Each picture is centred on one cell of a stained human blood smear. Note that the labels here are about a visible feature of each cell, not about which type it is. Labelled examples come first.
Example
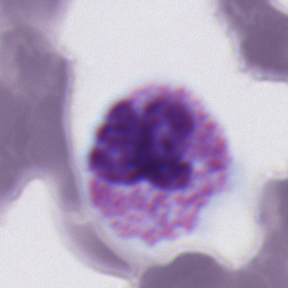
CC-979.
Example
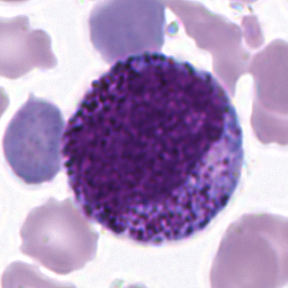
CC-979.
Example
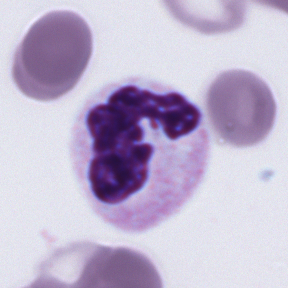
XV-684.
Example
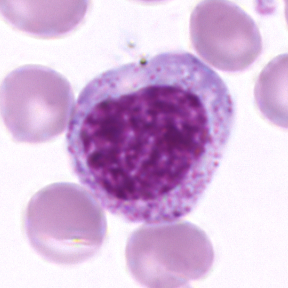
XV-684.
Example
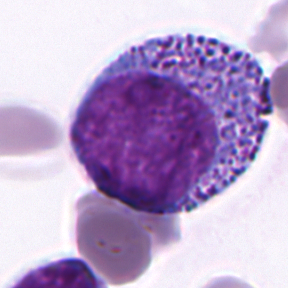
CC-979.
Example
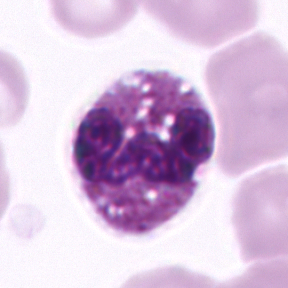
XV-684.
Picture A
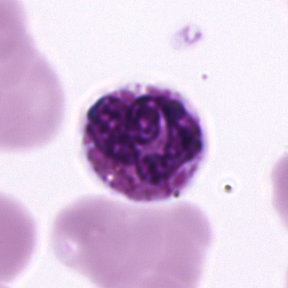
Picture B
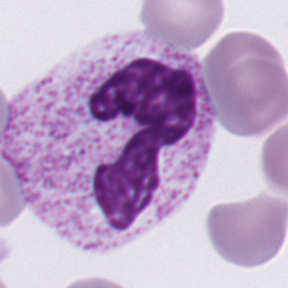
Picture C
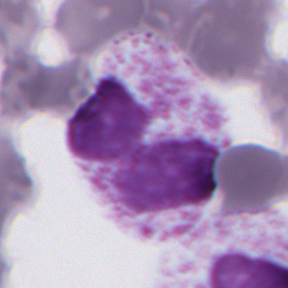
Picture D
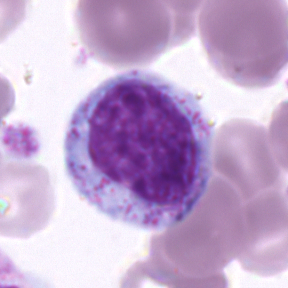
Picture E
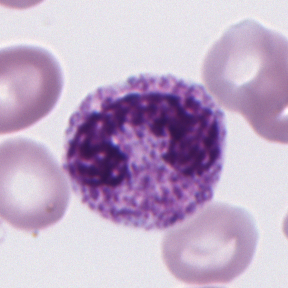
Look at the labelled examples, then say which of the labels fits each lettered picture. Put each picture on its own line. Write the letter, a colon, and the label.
A: XV-684.
B: XV-684.
C: CC-979.
D: XV-684.
E: CC-979.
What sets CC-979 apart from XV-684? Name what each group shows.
CC-979: coarse or large granules; XV-684: fine or small granules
